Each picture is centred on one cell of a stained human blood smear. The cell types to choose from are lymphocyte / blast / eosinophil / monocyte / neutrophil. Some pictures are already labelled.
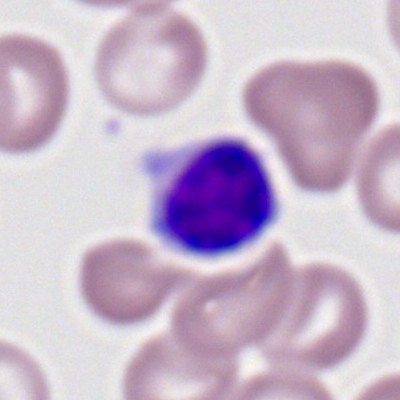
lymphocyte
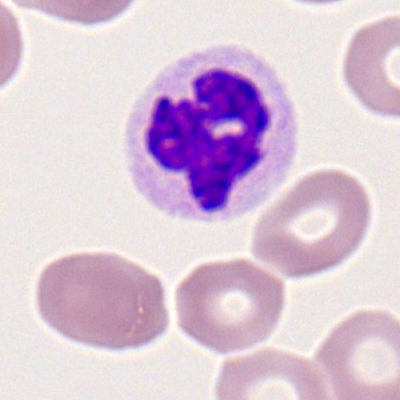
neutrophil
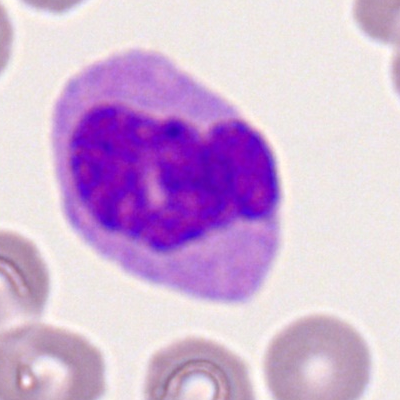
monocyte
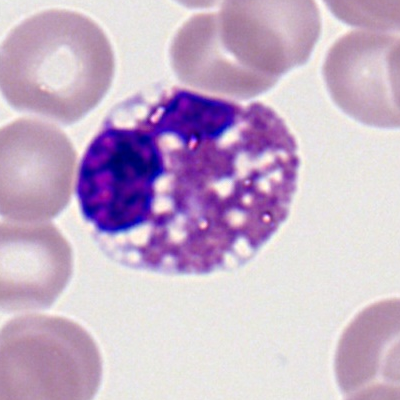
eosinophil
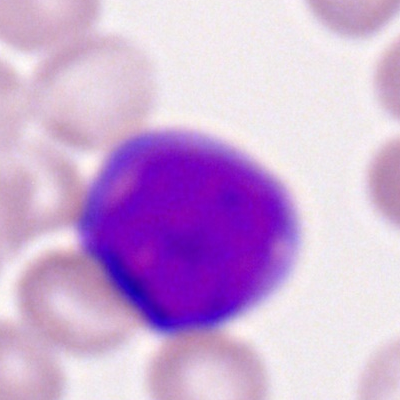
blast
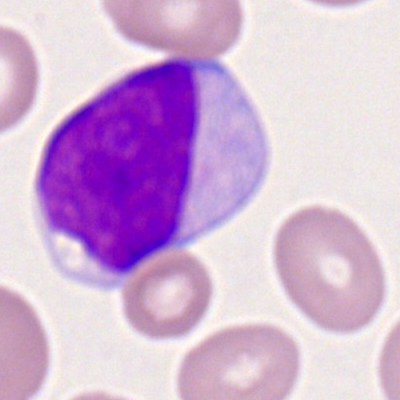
blast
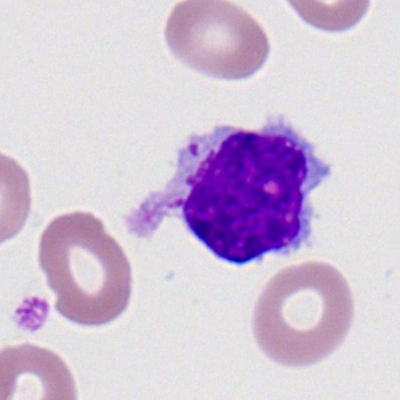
lymphocyte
